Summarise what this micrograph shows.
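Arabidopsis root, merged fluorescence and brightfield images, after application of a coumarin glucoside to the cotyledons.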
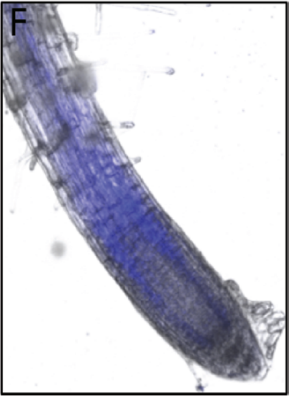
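Root tip, with a rounded capped end and root hairs emerging from the surface further up. Cells near the tip are small and densely packed, becoming longer in files toward the upper part. Blue fluorescence fills the inner tissue over much of the tip region, stronger in the central part. Loose cells are seen detaching at the very end of the cap.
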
